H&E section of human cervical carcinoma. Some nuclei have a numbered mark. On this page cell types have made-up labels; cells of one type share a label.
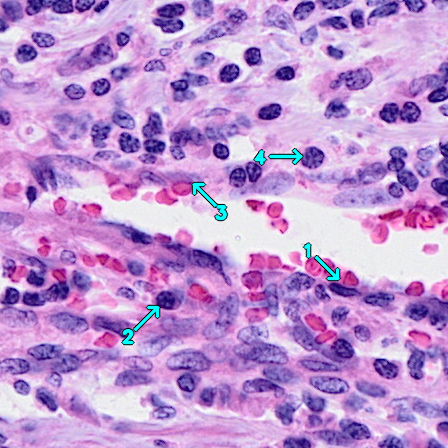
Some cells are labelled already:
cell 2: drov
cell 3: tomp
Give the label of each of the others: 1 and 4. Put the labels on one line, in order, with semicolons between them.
tomp; drov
